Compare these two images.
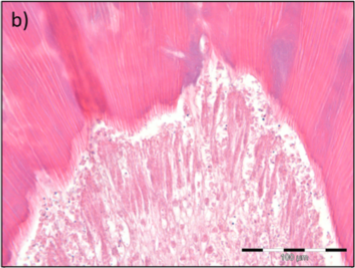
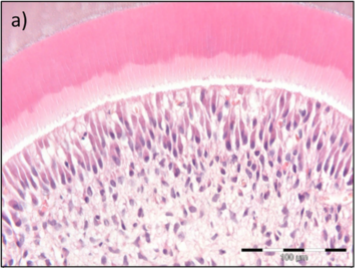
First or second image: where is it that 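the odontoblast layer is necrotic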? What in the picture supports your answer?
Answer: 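The first image. First image: pale eosinophilic tissue with few nuclei and no orderly cell layer under the hard tissue. Second image: a dense palisade of columnar cells with purple nuclei under the hard tissue.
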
